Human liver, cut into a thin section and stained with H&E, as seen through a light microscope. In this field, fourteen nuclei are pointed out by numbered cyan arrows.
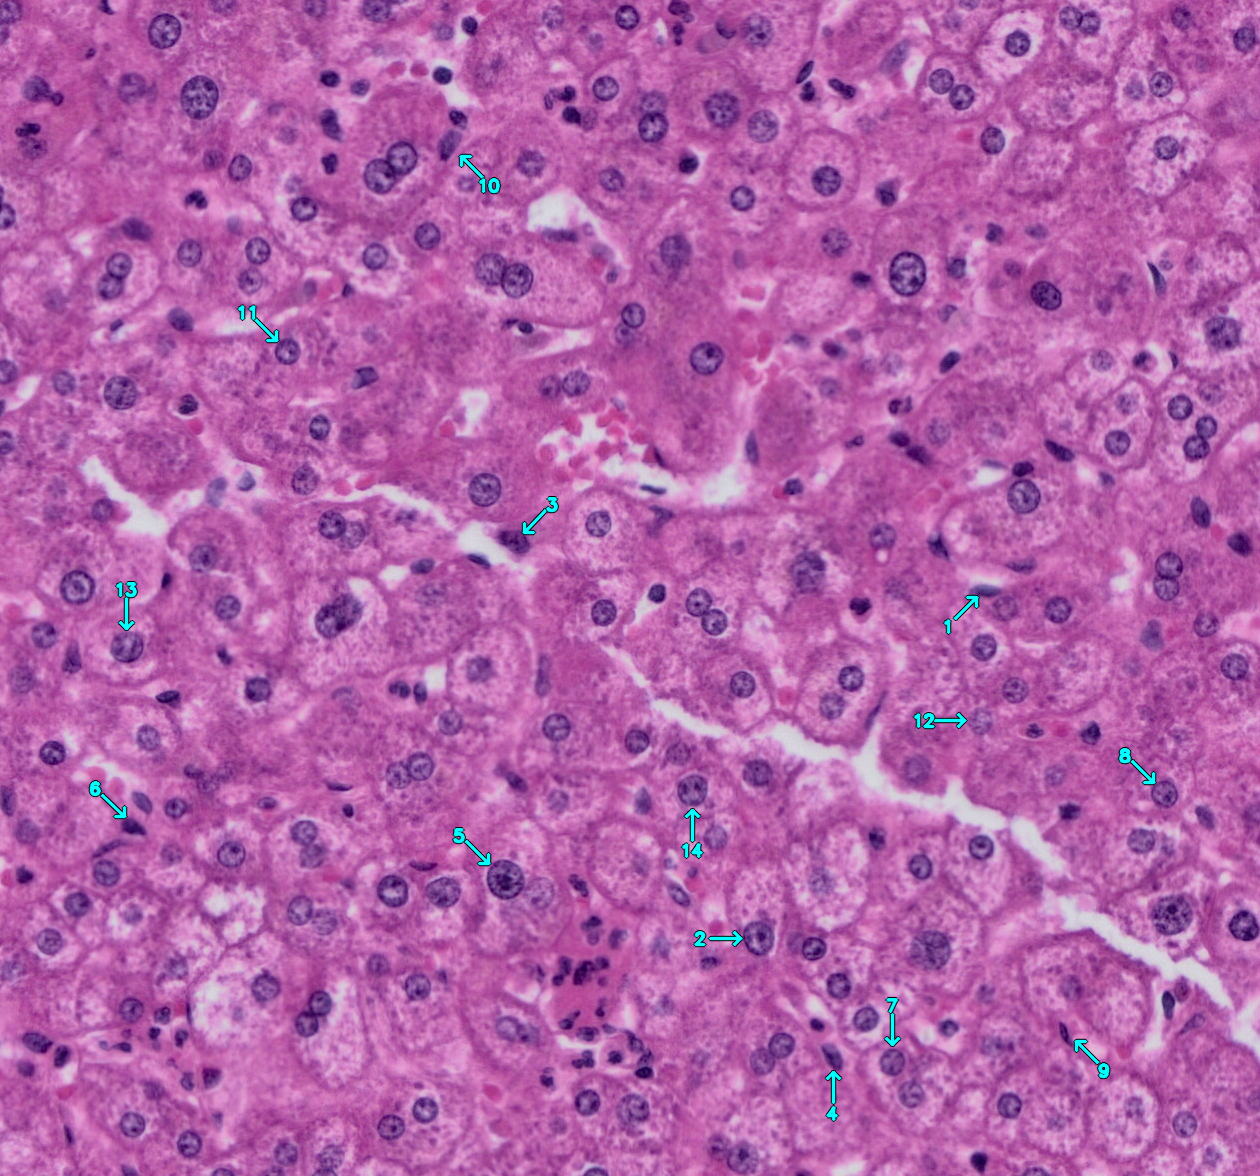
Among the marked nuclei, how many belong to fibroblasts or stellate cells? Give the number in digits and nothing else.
2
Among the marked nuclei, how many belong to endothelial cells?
3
